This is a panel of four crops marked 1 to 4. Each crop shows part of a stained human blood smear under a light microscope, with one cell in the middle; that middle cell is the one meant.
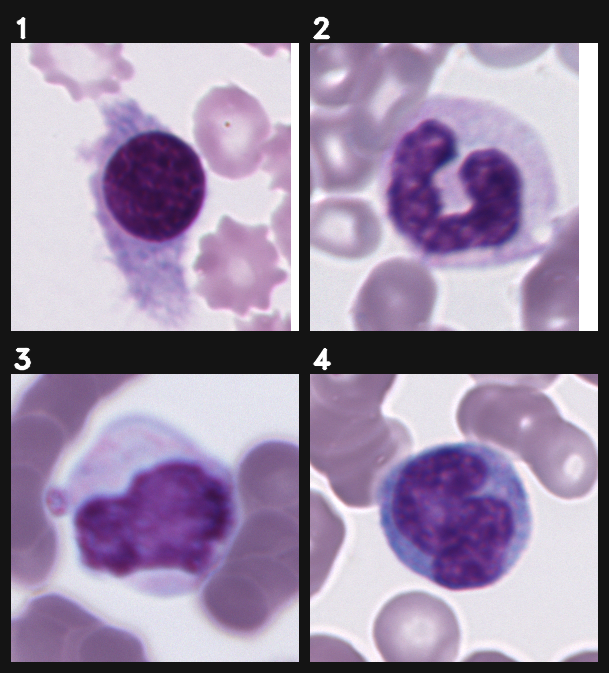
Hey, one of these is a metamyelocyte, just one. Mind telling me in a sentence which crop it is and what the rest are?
Depicted in crop 3 is a metamyelocyte, while crop 1 is a hairy cell, crop 2 is a band neutrophil and crop 4 is a monocyte.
